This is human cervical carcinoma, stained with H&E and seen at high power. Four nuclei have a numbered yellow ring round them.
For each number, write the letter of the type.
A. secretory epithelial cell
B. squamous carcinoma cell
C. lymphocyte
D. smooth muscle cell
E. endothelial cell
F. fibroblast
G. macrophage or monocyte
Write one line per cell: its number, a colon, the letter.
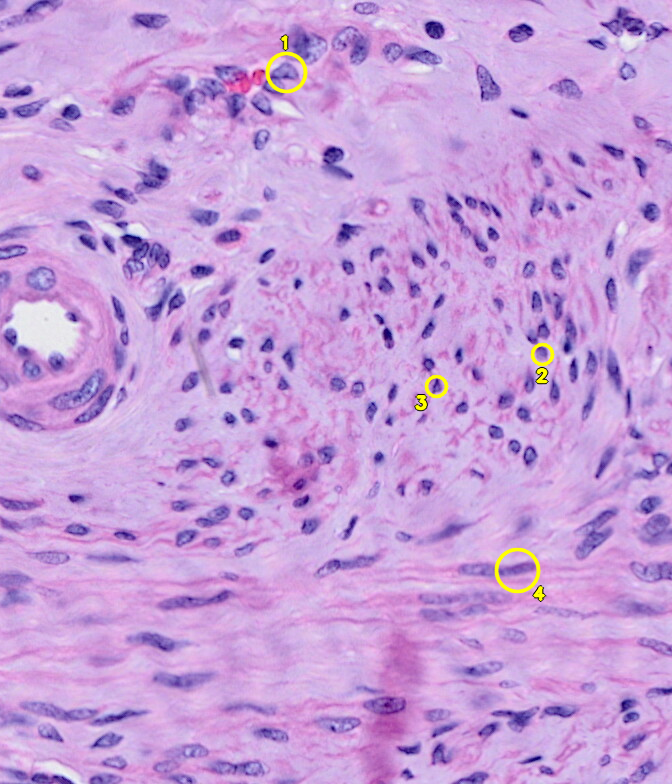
1: E
2: D
3: D
4: D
